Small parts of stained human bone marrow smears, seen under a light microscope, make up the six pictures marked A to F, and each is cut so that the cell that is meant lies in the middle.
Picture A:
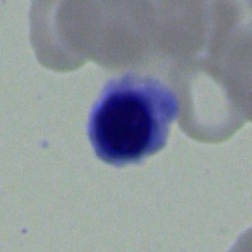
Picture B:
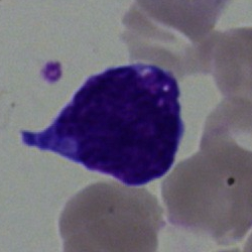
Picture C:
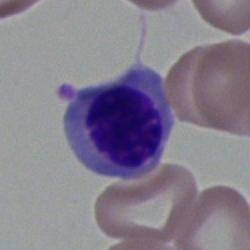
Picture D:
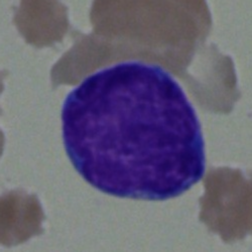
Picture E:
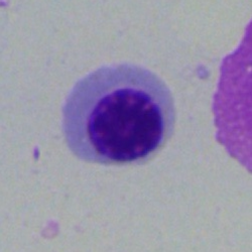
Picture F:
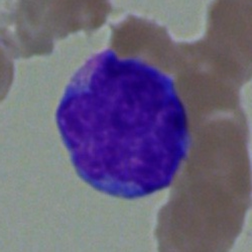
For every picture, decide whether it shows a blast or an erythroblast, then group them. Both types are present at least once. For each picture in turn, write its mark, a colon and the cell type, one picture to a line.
A: erythroblast
B: blast
C: erythroblast
D: blast
E: erythroblast
F: blast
